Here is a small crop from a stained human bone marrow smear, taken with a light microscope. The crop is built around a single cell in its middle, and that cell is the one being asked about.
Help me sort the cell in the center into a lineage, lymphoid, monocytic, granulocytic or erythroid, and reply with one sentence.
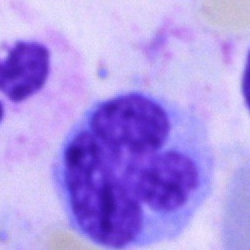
The cell at the center of this crop is categorized as monocytic in lineage.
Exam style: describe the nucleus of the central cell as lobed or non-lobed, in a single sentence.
Nuclear material here is separated into two or more segments.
